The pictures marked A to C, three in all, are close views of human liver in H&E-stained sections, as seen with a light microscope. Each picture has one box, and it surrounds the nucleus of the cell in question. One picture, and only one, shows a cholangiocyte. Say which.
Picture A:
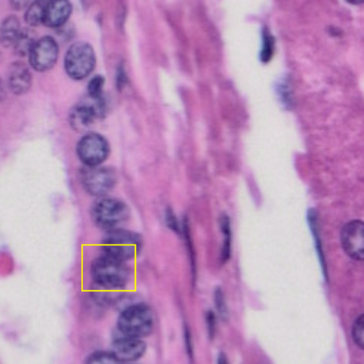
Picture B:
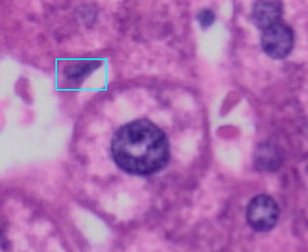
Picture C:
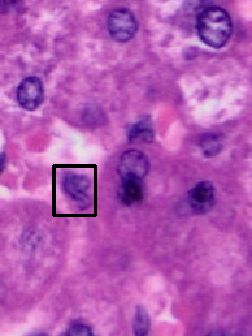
A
